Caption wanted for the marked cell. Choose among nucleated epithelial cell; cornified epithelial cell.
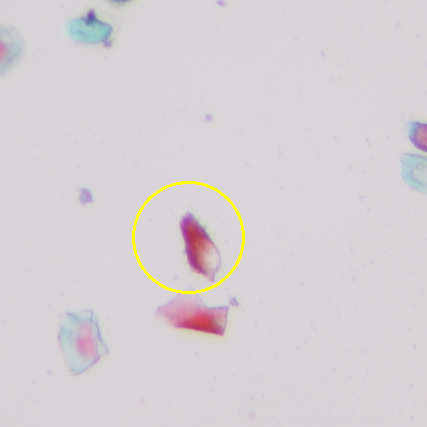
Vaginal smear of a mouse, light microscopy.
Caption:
Ringed in yellow is a cornified epithelial cell.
